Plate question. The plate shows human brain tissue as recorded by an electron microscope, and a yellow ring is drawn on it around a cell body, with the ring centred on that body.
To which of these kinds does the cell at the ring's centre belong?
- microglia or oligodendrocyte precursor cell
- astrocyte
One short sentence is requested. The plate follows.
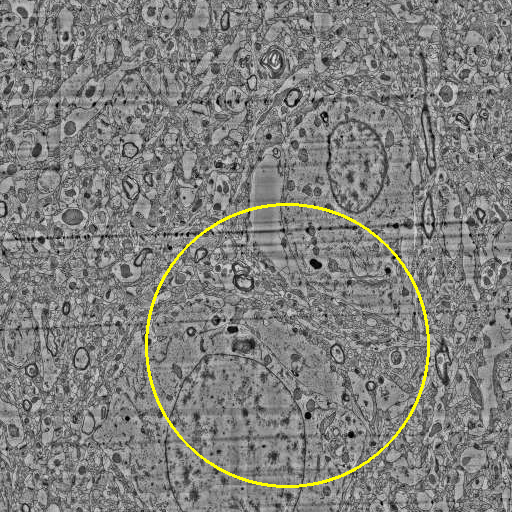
The cell at the ring's centre is a microglial cell or oligodendrocyte precursor cell.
